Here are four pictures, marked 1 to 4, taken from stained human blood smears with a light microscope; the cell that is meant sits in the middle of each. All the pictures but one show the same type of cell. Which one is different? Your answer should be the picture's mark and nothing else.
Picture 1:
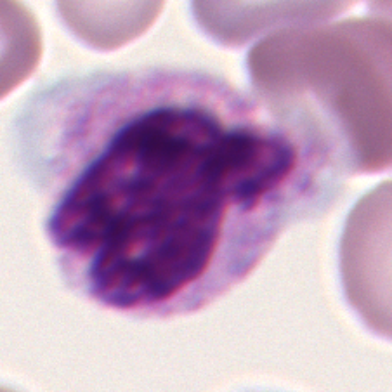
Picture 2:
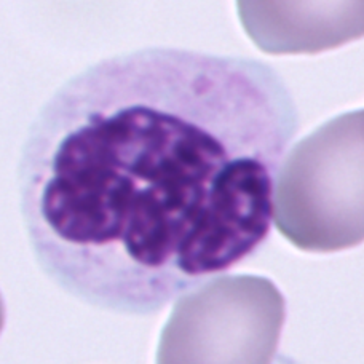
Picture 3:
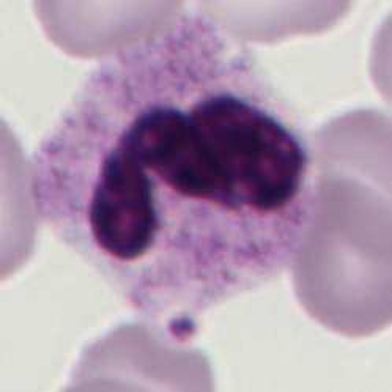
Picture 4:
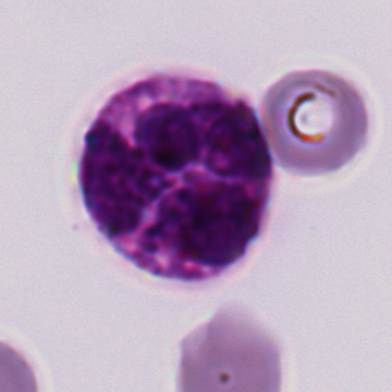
4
